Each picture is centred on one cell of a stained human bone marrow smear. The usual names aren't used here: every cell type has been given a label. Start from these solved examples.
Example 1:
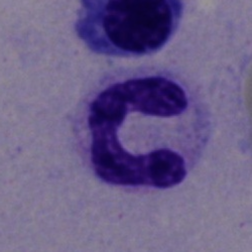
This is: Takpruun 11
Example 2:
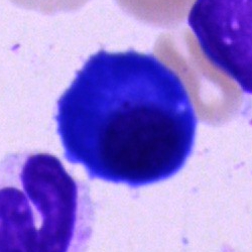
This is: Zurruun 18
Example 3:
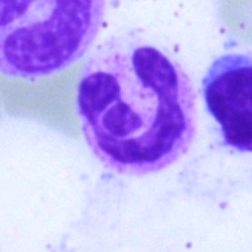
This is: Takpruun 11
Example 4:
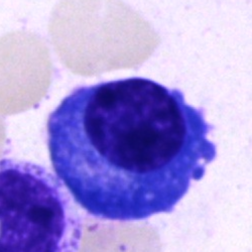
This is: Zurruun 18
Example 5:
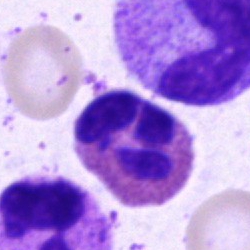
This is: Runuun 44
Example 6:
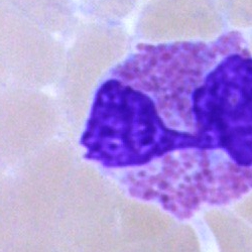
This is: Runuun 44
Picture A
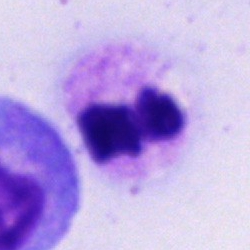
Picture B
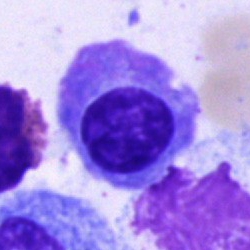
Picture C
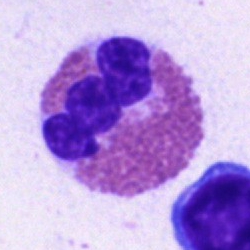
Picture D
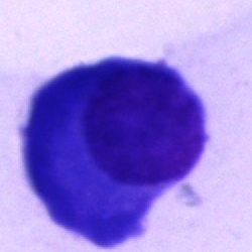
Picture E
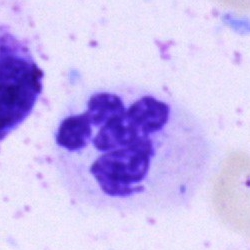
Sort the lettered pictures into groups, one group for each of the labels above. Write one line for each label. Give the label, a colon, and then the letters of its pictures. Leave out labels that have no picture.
Takpruun 11: A, E
Zurruun 18: B, D
Runuun 44: C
